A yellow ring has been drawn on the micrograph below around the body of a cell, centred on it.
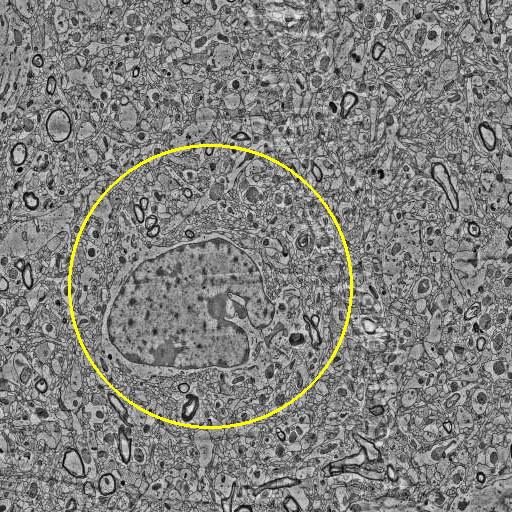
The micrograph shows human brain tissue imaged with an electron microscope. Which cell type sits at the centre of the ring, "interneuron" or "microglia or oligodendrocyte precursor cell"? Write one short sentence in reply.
The cell sitting at the centre of the ring is a microglial cell or oligodendrocyte precursor cell.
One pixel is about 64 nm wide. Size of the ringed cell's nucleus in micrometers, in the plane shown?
In this plane, the nucleus is roughly 10 by 8 micrometres.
